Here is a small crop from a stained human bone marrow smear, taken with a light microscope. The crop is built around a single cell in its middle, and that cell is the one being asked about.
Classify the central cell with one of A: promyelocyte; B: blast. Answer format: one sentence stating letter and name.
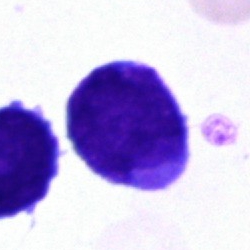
What option B states is correct, the central cell being a blast.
